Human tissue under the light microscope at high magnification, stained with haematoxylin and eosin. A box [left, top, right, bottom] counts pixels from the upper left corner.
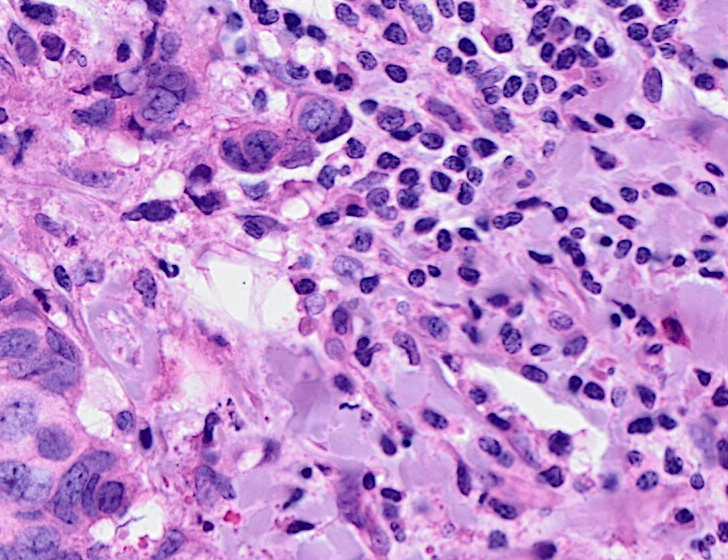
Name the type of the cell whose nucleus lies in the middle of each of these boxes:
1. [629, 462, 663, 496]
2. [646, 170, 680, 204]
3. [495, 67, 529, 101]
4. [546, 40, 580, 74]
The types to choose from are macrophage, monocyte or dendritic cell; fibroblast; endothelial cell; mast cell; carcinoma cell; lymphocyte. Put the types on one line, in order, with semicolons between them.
mast cell; lymphocyte; lymphocyte; lymphocyte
